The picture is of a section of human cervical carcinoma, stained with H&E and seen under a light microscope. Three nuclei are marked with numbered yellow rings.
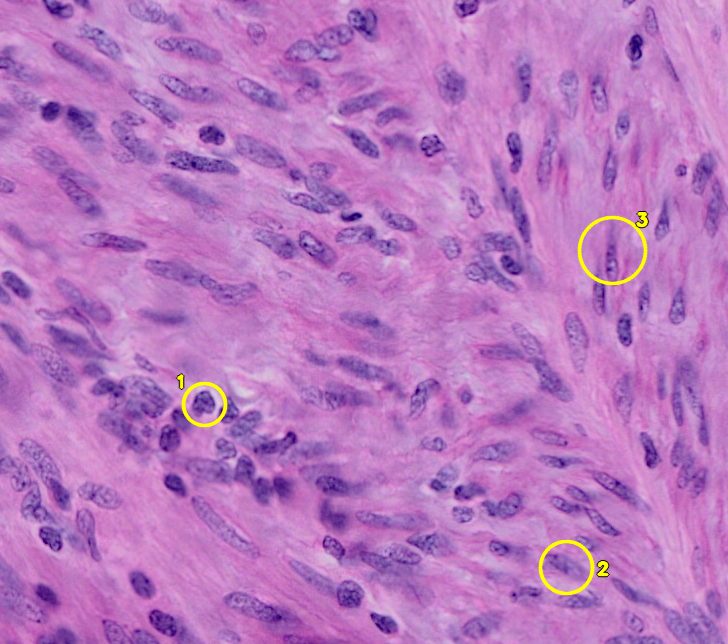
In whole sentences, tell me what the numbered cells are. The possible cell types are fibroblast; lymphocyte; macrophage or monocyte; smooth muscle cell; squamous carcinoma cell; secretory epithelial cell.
Cell 1 is a lymphocyte, cell 2 is a smooth muscle cell and cell 3 is a smooth muscle cell.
